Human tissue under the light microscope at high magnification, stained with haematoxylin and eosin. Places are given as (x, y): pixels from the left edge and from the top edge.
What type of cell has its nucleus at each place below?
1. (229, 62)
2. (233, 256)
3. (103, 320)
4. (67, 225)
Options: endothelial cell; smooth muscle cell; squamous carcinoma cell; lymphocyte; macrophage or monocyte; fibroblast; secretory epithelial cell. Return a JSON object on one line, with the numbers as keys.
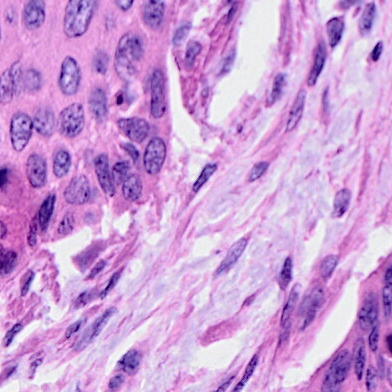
{"1": "fibroblast", "2": "fibroblast", "3": "fibroblast", "4": "squamous carcinoma cell"}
